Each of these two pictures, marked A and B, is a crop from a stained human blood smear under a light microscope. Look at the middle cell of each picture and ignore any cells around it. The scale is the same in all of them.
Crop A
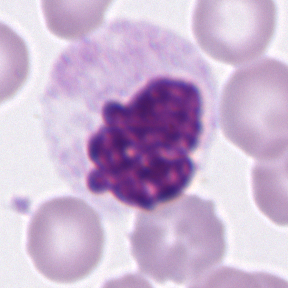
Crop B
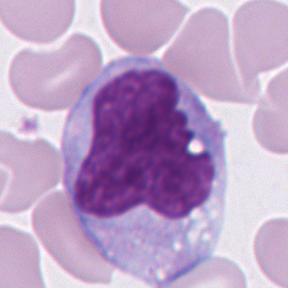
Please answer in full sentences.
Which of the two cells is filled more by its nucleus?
The nucleus fills more of the cell in crop B than in crop A.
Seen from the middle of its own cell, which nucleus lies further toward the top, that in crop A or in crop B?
It is the nucleus in crop B that lies further toward the top of its cell.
